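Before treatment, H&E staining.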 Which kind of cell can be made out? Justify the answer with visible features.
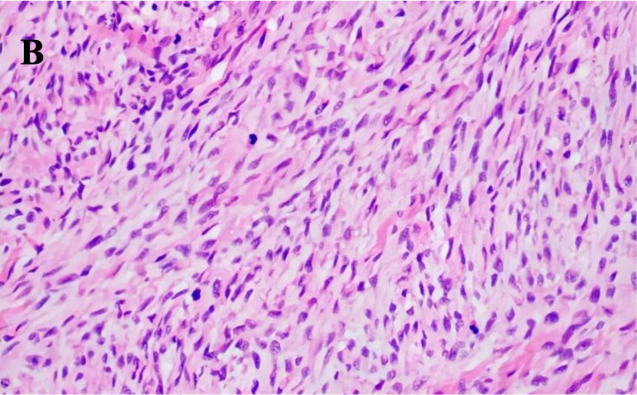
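Elongated cells with tapered, cigar-shaped to wavy nuclei. Cells lie in streaming fascicles. On this evidence: spindle-shaped cells.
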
